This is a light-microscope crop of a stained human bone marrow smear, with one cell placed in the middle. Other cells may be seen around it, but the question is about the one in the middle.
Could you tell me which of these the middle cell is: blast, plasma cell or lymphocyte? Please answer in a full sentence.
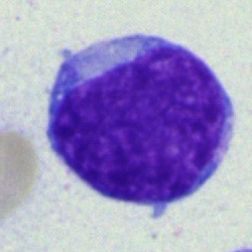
What sits at the centre of this crop is a blast.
